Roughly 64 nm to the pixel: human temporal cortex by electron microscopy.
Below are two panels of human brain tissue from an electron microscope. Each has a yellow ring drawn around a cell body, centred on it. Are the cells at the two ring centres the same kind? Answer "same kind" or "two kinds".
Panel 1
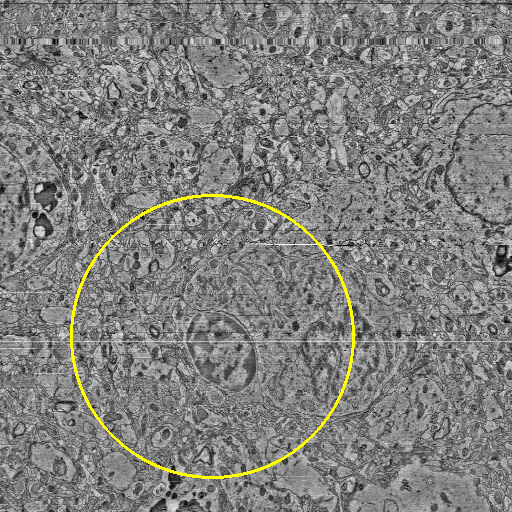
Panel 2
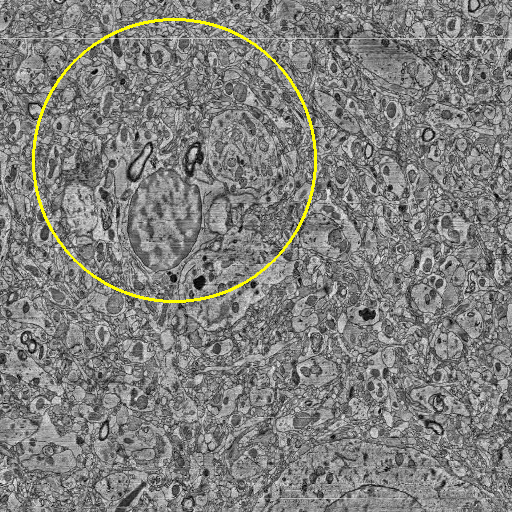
same kind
